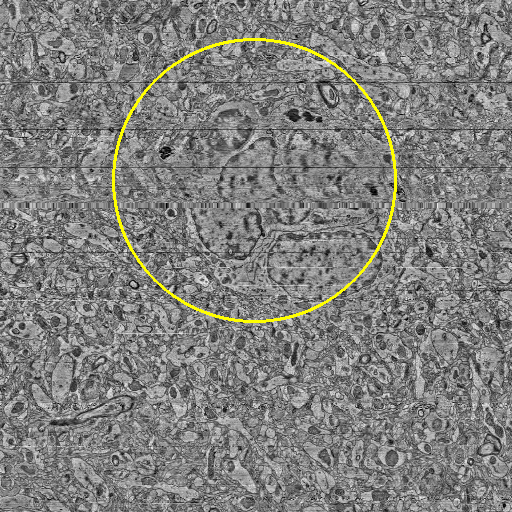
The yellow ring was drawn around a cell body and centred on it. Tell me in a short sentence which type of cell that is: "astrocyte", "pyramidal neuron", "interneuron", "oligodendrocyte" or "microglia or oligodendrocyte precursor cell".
The cell at the ring's centre is a microglial cell or oligodendrocyte precursor cell.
